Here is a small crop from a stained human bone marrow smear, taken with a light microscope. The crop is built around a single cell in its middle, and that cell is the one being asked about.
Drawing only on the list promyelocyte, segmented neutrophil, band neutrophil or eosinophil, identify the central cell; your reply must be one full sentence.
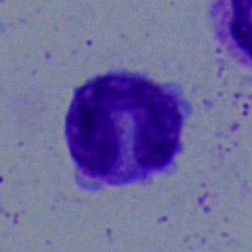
The cell occupying the middle of the crop is a band neutrophil.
